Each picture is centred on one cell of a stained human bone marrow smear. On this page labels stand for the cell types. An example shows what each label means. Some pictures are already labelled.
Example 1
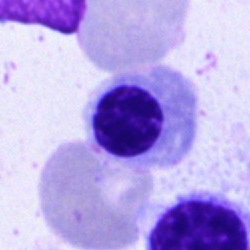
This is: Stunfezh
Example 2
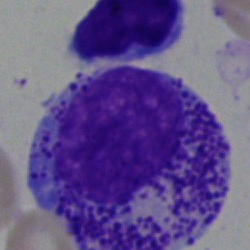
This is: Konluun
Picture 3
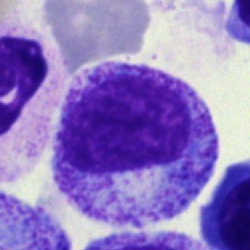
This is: Konluun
